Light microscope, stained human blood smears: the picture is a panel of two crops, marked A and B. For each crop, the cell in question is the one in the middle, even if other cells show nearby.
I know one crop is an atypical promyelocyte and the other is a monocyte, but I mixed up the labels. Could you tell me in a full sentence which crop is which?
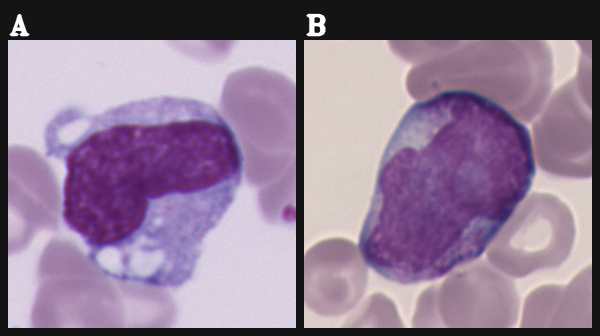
Crop B contains an atypical promyelocyte, whereas crop A contains a monocyte.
